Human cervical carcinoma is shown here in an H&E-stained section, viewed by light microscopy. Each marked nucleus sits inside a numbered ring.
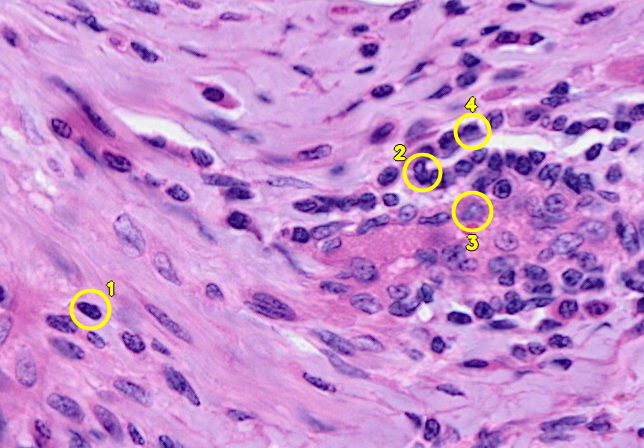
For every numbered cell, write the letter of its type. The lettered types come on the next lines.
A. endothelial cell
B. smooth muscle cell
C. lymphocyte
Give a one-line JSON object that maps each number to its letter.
{"1": "C", "2": "C", "3": "A", "4": "C"}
